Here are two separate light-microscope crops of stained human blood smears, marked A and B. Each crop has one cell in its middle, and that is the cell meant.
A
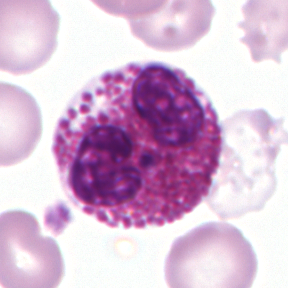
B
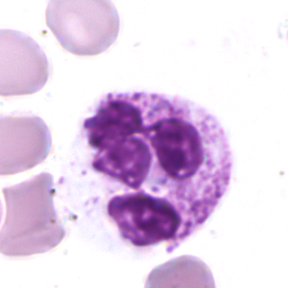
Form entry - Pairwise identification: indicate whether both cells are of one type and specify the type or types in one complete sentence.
No, crop A features an eosinophil, and crop B features a segmented neutrophil.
